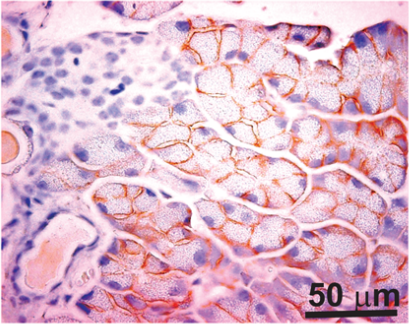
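Pancreatic acinar cells with an adjacent islet of Langerhans. Acini at the right are composed of pyramidal cells with basal round nuclei and pale granular cytoplasm, each cell outlined by thin brown lines along its lateral and basal borders. At the left a compact cluster of smaller pale cells with round nuclei lies without acinar arrangement and without brown outlines. Lobules are separated by clear septa; at the lower left edge lie round vessel profiles containing pink material.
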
